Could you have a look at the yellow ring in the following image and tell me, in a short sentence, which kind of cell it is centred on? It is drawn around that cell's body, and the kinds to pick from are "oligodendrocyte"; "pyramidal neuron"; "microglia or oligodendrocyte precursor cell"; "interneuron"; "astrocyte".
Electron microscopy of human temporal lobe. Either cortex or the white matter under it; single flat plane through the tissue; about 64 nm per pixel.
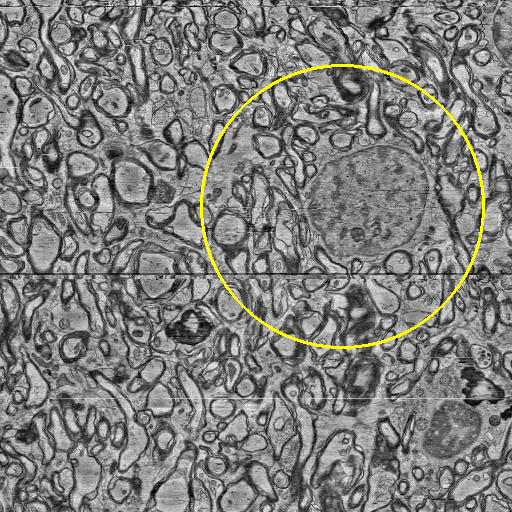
The ring is centred on the body of an oligodendrocyte.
